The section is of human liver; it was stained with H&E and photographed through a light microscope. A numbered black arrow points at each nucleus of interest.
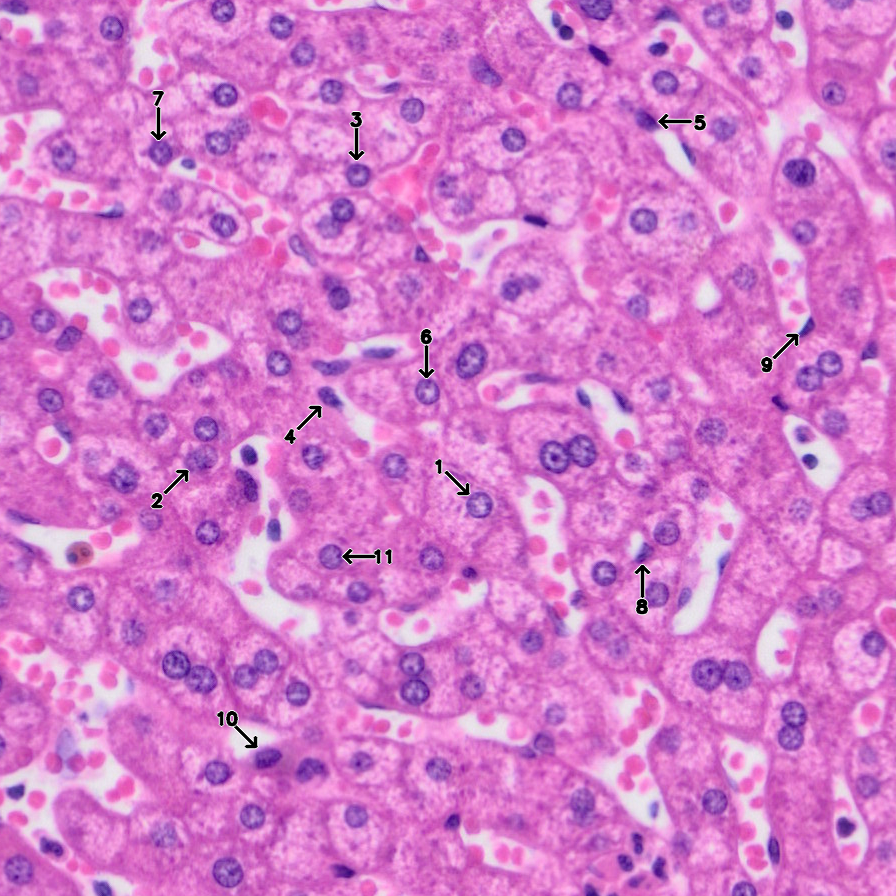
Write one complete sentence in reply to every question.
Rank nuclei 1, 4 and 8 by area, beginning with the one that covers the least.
By area, going up from the smallest, they rank 8, 4, 1.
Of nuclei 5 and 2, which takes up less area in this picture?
Nucleus 5 is the smaller one; nucleus 2 covers about 1.5 times its area.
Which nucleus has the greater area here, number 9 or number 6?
The larger nucleus is 6, at roughly 2.5 times the area of 9.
